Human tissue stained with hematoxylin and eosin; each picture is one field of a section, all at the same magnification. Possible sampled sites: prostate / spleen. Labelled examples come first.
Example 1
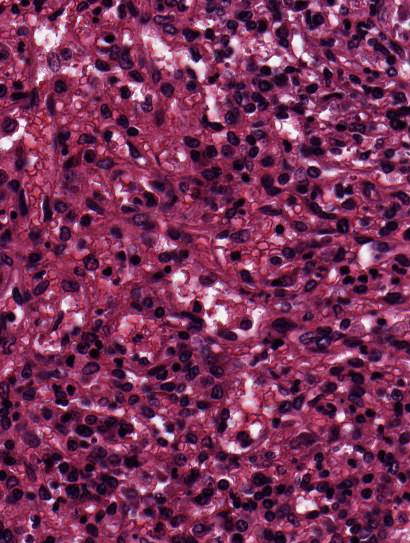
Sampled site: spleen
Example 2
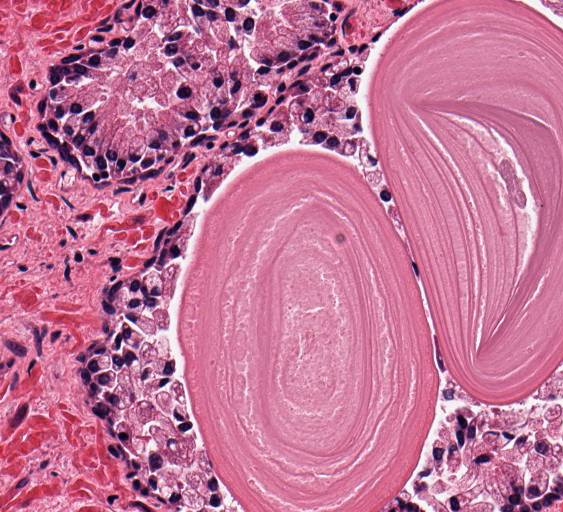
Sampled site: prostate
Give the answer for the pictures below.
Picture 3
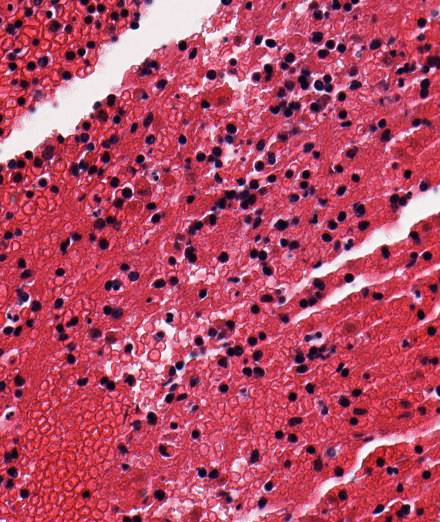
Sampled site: spleen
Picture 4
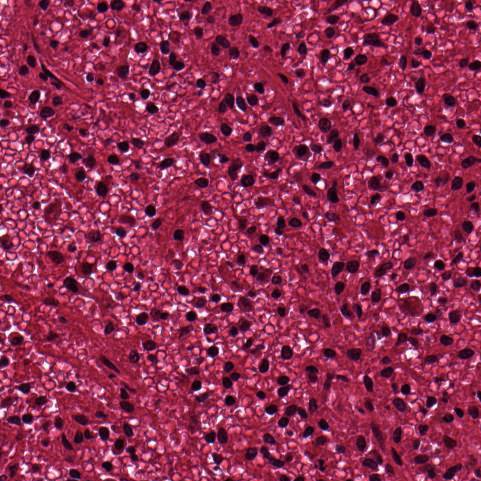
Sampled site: spleen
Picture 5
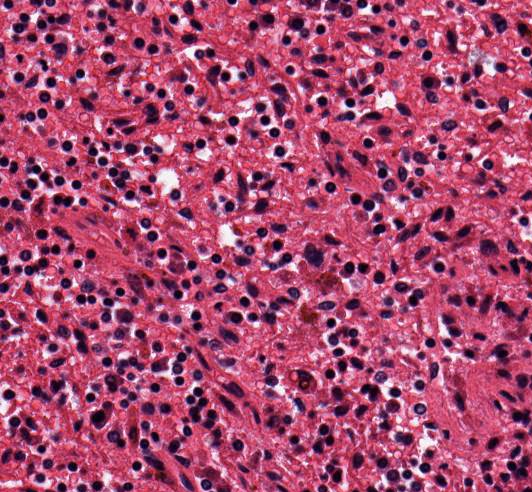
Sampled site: spleen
